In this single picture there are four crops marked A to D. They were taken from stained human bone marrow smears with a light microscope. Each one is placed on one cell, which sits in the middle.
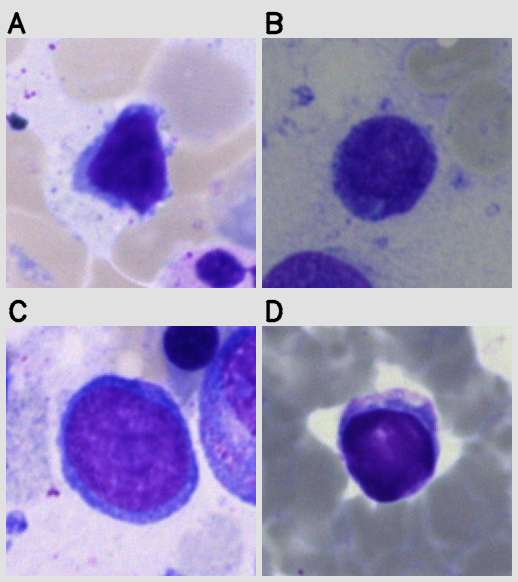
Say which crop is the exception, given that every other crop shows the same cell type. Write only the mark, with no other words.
C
